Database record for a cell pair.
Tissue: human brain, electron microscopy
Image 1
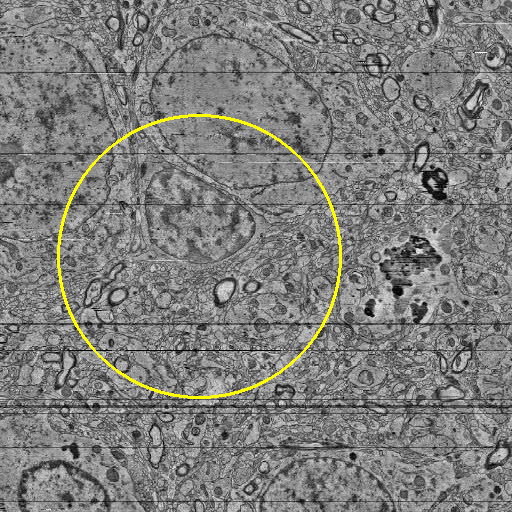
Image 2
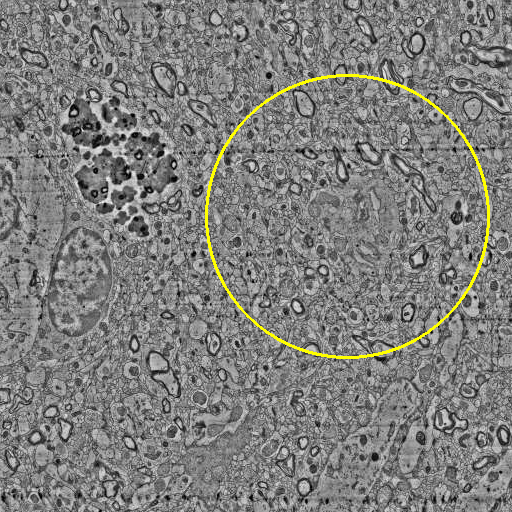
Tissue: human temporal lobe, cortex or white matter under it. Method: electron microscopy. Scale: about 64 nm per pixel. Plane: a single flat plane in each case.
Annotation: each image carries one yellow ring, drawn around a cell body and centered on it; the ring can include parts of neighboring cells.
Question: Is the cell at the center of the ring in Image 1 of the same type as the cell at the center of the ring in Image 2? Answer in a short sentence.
No, the cells are of two types.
